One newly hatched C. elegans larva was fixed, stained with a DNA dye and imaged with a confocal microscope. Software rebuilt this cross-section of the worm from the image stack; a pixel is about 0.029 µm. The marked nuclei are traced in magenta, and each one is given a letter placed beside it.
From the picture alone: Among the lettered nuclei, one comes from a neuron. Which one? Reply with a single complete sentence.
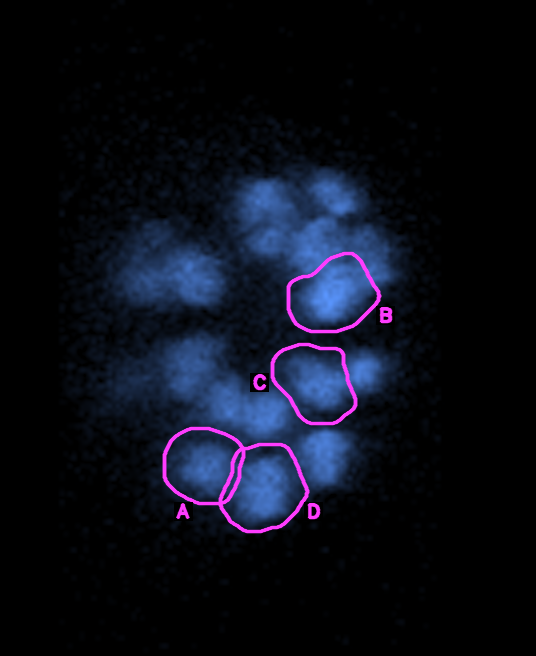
Of the marked nuclei, D is the one in a neuron.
